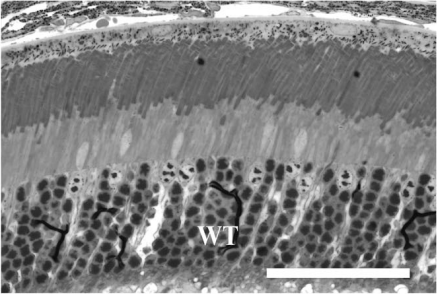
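This section of the outer retina shows, from top to bottom, the pigment epithelium, the photoreceptor outer and inner segments and the outer nuclear layer. The pigment epithelium forms a thin band studded with dark granules. Beneath it the outer segments are long, slender and closely aligned in parallel, followed by a paler band of inner segments. The outer nuclear layer is made of many rows of small, round, densely stained photoreceptor nuclei packed tightly together.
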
